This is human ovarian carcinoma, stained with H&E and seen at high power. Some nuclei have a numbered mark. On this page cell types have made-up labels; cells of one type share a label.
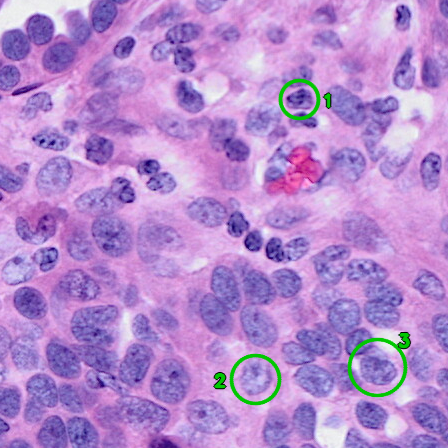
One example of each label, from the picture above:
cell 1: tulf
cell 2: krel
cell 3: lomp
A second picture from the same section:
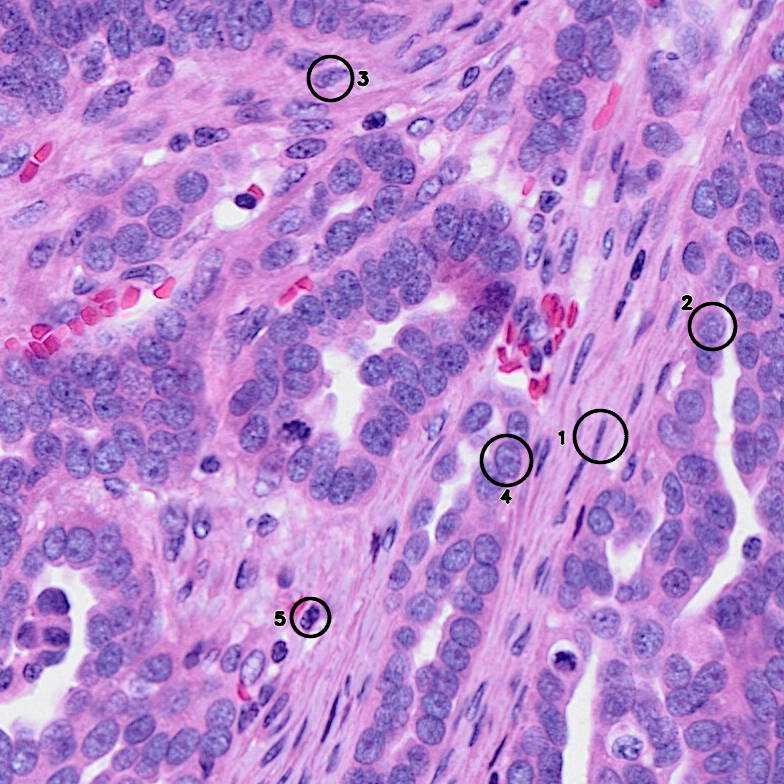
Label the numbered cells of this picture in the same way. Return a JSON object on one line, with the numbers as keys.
{"1": "krel", "2": "lomp", "3": "krel", "4": "lomp", "5": "tulf"}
